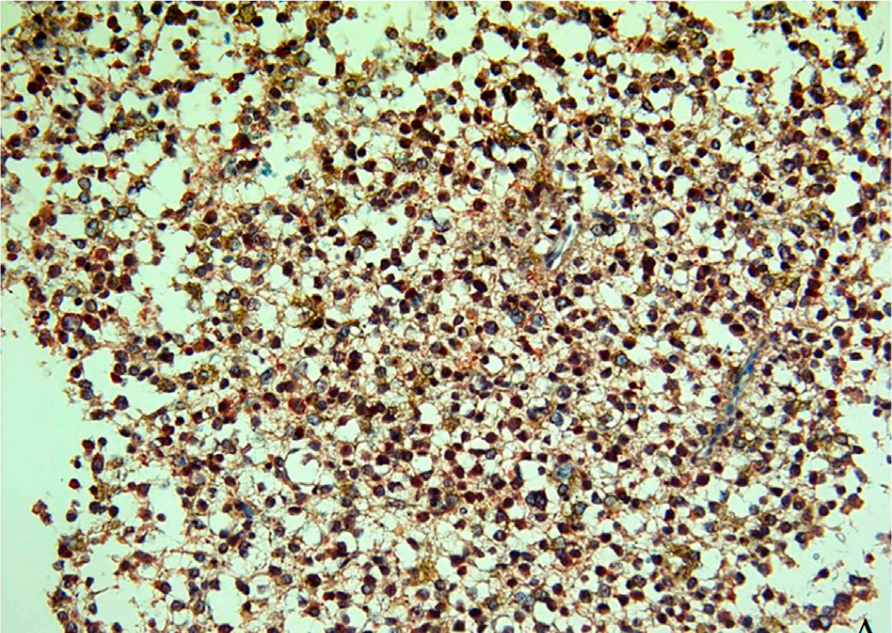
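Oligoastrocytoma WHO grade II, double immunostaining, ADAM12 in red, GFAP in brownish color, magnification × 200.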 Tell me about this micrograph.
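Densely cellular glial tumour made of two intermixed populations of tumour cells. Most cells are small and rounded, with dense, dark red-brown rounded nuclei and scant cytoplasm, some showing a pale rim. They are scattered evenly through a loose, finely reticulated background with many small clear spaces that gives a microcystic look. Among them are cells with brown cytoplasm and a brown network of fine, interlacing processes. No layering or orderly arrangement is seen. A few thin, elongated blue-grey structures cross the field.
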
